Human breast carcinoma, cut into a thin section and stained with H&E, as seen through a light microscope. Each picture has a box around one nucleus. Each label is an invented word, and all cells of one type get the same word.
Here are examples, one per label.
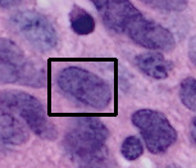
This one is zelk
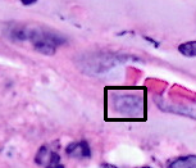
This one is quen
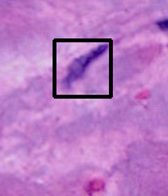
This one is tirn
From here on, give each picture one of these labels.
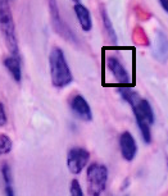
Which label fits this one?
quen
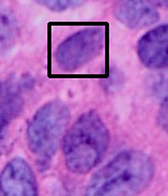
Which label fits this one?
zelk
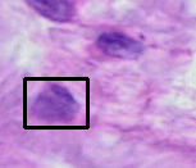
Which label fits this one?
tirn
